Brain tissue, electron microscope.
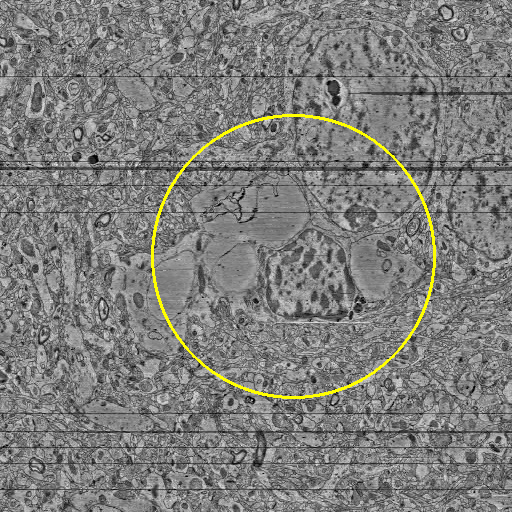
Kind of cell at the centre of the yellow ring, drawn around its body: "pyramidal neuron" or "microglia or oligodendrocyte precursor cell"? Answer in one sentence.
The ring's centre falls on a microglial cell or oligodendrocyte precursor cell.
